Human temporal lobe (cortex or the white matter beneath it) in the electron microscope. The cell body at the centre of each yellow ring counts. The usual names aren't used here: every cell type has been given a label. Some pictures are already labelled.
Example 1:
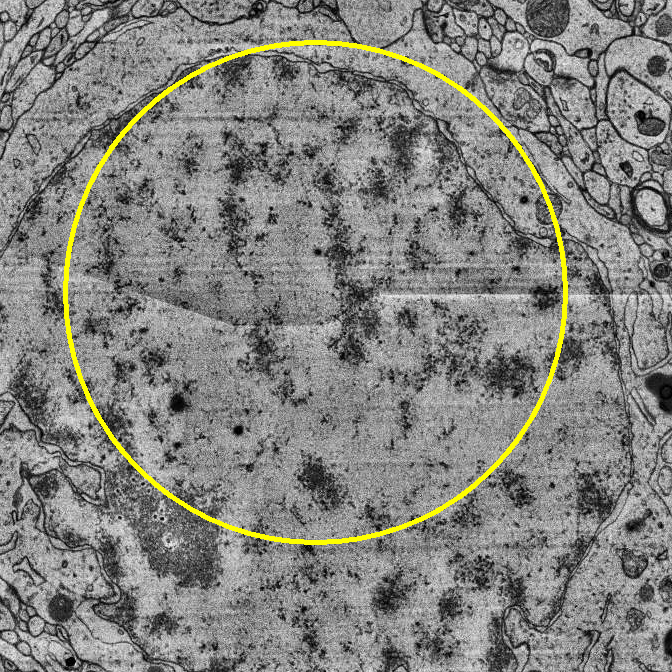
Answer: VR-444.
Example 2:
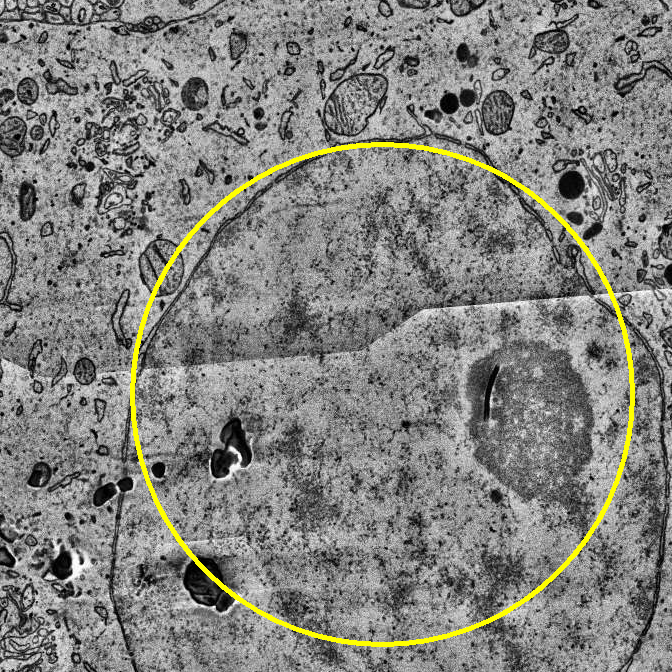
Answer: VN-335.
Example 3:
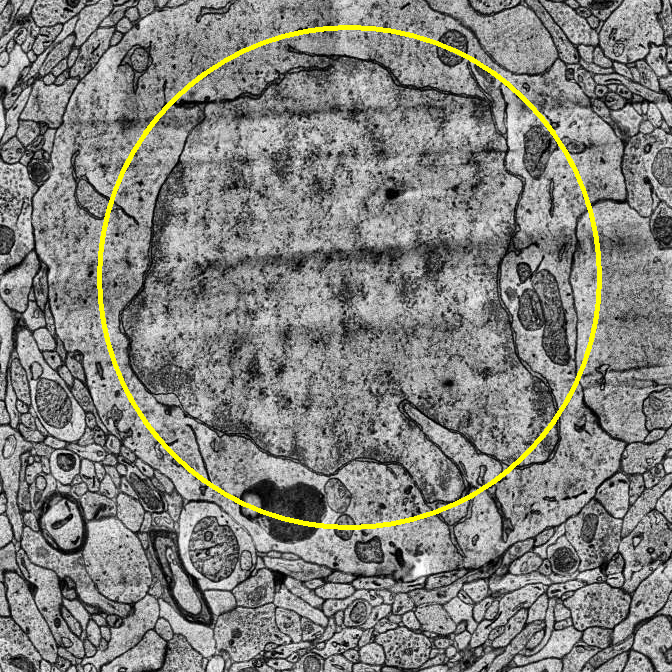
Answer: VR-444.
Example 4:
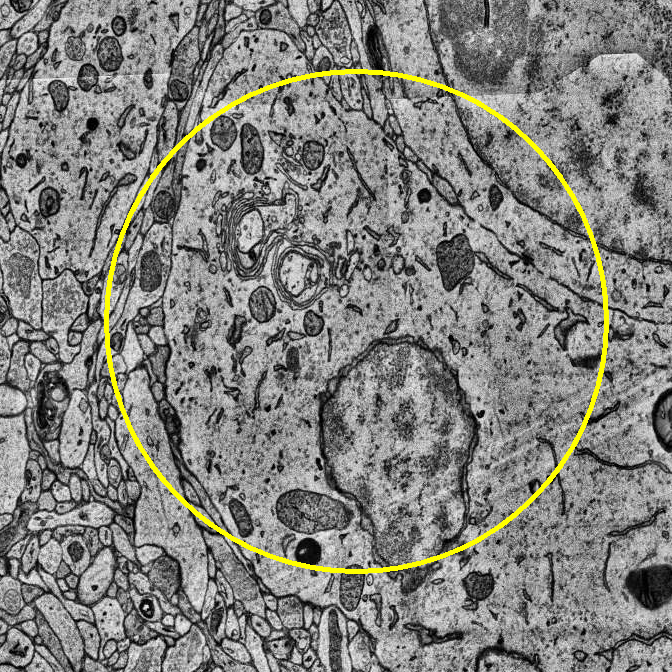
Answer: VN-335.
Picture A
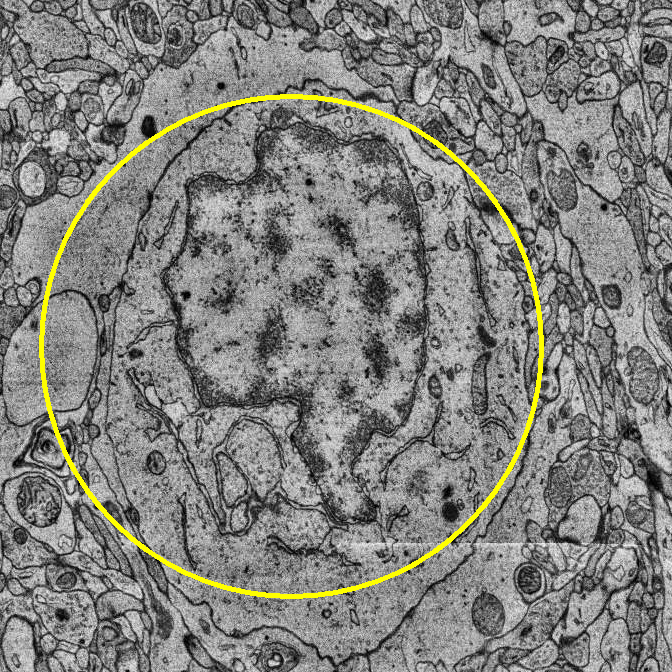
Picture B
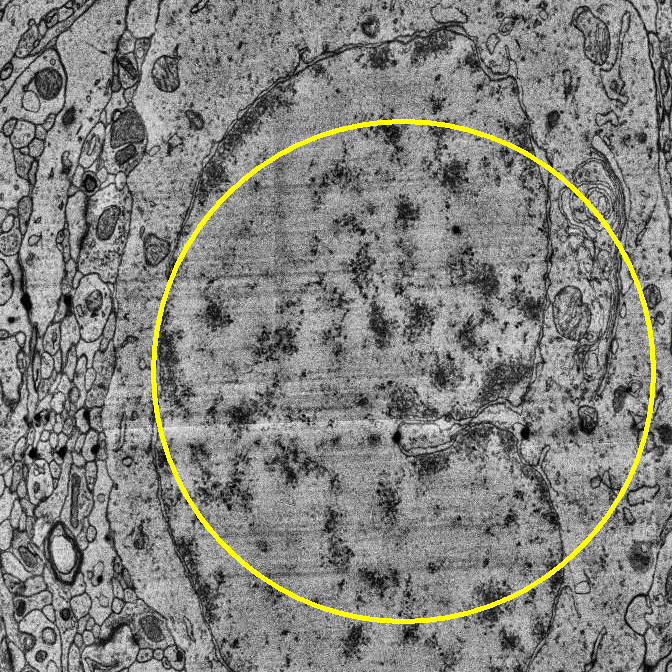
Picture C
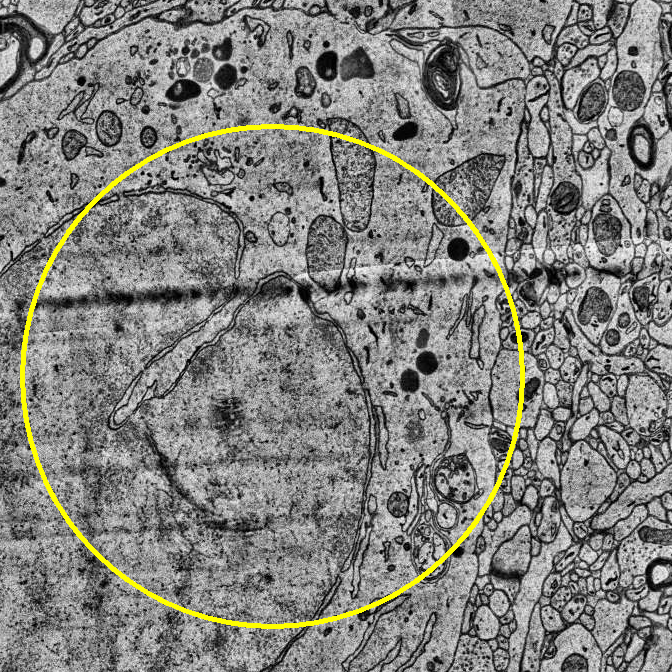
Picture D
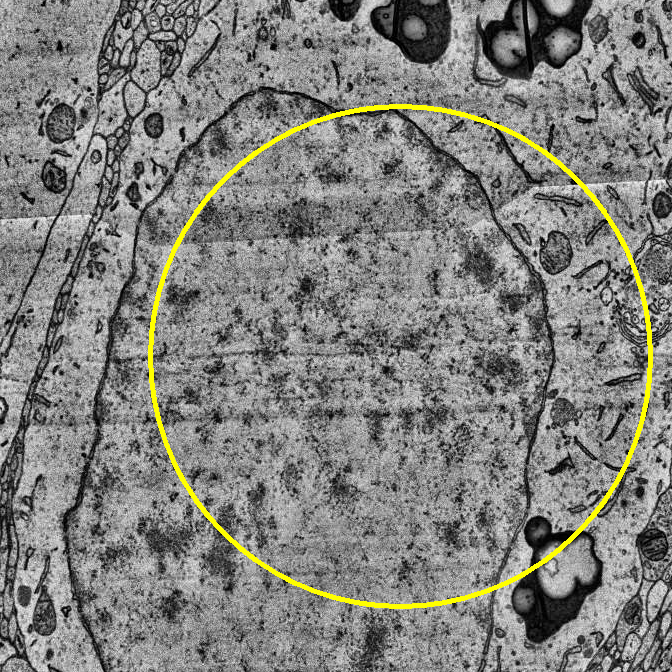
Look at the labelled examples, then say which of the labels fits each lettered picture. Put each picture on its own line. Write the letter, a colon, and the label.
A: VR-444.
B: VR-444.
C: VR-444.
D: VN-335.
